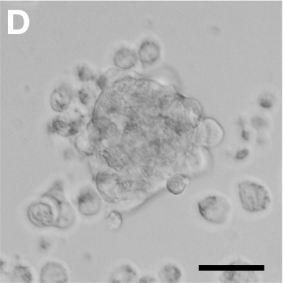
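A large, rounded cluster of tightly packed cells fills the centre, its many cells crowding one another so that single outlines are hard to follow. Around its rim and nearby lie loose, round single cells, some with a granular look.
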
